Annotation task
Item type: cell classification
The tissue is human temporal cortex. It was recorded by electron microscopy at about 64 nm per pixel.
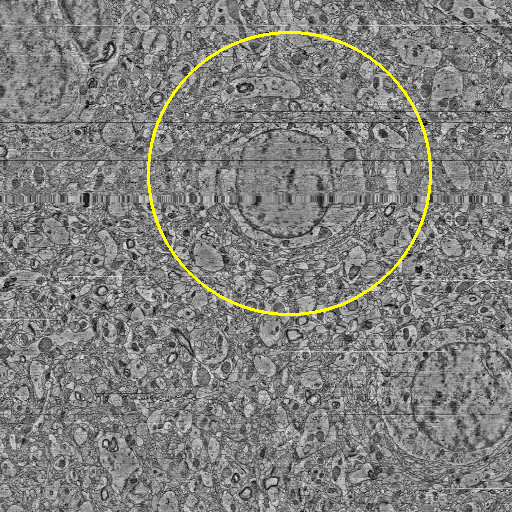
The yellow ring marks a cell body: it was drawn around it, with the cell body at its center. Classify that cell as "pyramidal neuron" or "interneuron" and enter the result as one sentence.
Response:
The ring's center falls on a pyramidal neuron.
